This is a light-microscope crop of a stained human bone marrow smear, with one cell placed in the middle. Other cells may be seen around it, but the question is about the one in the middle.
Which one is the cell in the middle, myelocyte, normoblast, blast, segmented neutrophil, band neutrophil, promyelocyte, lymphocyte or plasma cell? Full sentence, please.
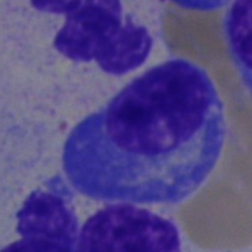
The cell in the middle of this crop is a plasma cell.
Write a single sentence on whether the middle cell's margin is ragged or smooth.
Smooth all around, the outline has no projections to report.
